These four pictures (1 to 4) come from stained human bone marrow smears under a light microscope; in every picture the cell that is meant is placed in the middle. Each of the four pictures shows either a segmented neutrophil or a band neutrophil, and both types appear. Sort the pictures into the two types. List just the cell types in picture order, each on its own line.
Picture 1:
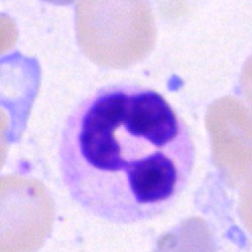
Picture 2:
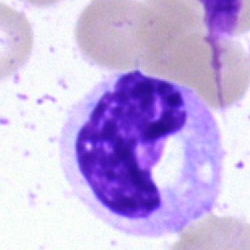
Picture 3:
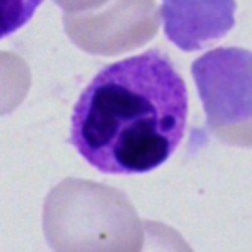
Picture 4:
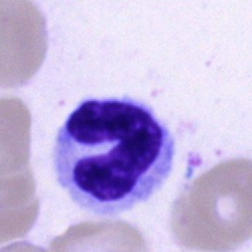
segmented neutrophil
band neutrophil
segmented neutrophil
band neutrophil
